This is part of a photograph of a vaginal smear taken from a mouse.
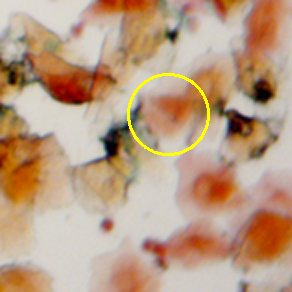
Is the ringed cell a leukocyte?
No, it is a cornified epithelial cell.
